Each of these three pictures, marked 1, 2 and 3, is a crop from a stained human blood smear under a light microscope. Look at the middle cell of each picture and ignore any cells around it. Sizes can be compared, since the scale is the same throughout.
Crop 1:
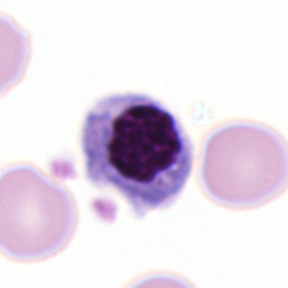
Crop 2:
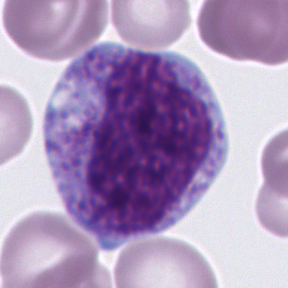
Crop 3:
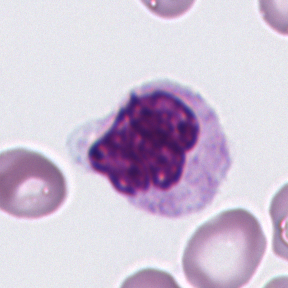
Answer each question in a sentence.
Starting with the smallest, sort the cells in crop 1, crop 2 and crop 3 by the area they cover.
The order is 1, 3, 2, beginning with the smallest.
